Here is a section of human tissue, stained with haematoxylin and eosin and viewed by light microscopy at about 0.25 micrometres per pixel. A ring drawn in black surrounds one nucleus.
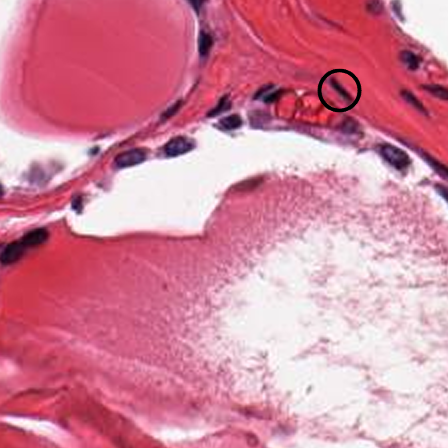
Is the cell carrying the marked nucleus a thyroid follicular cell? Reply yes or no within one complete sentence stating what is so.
No, as for the marked nucleus, it belongs to a supporting cell and not to a thyroid follicular cell.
